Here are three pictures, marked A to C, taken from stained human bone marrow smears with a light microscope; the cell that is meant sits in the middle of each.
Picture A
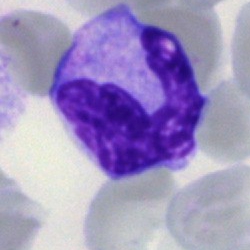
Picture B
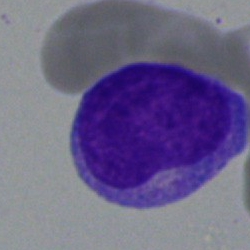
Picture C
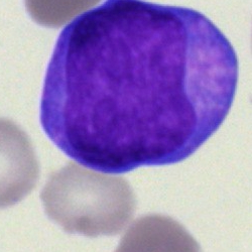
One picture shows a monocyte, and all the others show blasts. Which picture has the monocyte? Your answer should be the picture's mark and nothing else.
A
